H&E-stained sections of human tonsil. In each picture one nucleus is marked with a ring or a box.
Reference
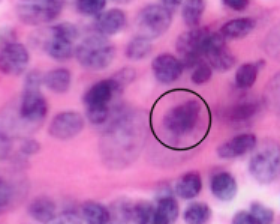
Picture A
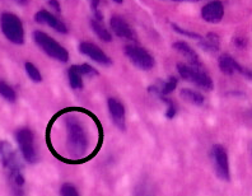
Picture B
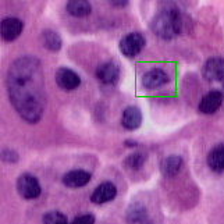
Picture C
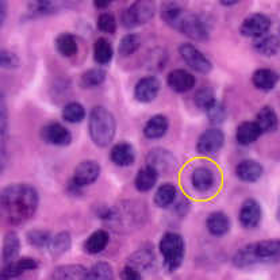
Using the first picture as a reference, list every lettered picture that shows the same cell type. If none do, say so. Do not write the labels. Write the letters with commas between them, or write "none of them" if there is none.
none of them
